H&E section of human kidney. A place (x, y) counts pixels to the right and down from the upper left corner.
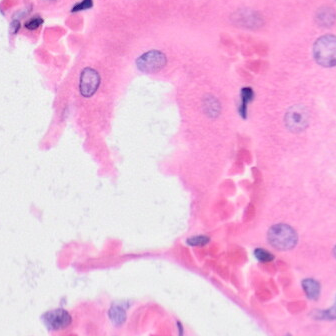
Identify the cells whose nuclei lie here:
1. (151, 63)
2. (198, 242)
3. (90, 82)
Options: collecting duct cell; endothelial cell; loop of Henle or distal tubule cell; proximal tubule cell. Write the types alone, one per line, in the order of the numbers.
proximal tubule cell
endothelial cell
proximal tubule cell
